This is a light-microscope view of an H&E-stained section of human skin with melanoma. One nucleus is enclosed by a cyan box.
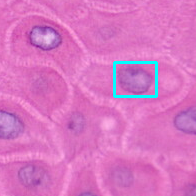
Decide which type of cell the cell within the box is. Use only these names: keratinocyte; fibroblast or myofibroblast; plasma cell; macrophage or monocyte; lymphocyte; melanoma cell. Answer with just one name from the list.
keratinocyte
